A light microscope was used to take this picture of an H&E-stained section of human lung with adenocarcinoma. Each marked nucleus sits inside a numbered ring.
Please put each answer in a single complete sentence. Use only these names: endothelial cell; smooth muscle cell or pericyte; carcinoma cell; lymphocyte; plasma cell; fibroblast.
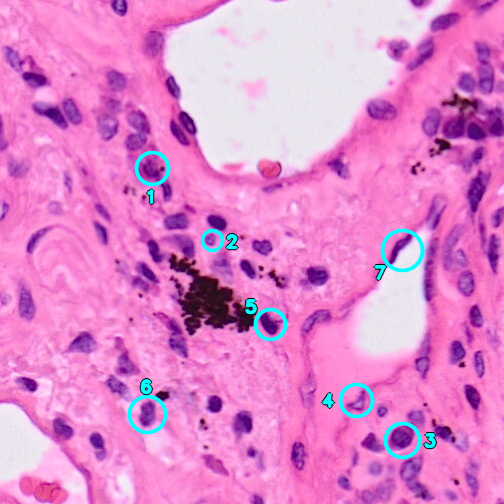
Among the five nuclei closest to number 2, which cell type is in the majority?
Of the five nuclei nearest to number 2, most belong to plasma cells.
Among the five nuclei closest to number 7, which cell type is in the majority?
Endothelial cells make up most of the five nuclei closest to number 7.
